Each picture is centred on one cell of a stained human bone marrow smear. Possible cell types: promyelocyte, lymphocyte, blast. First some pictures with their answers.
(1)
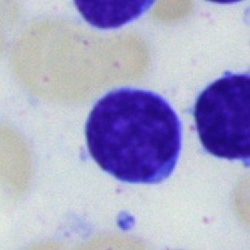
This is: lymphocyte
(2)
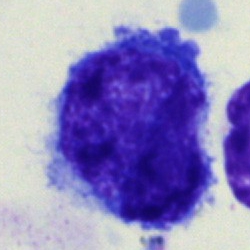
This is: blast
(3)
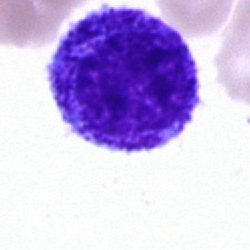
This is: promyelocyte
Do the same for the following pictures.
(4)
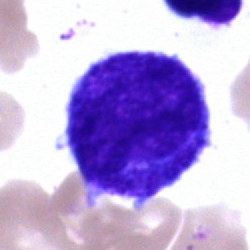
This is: promyelocyte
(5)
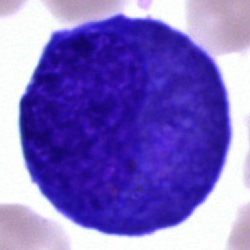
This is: promyelocyte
